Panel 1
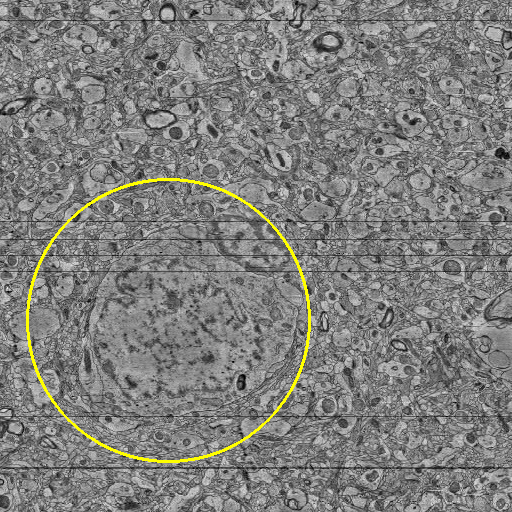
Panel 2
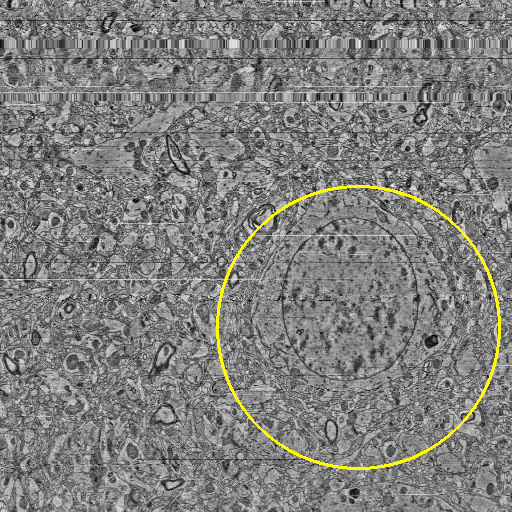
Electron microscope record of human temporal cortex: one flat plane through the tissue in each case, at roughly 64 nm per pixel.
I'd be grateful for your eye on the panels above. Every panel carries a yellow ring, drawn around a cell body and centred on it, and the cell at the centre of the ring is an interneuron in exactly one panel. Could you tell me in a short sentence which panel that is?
Panel 1 is the one with it at the centre of the ring.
